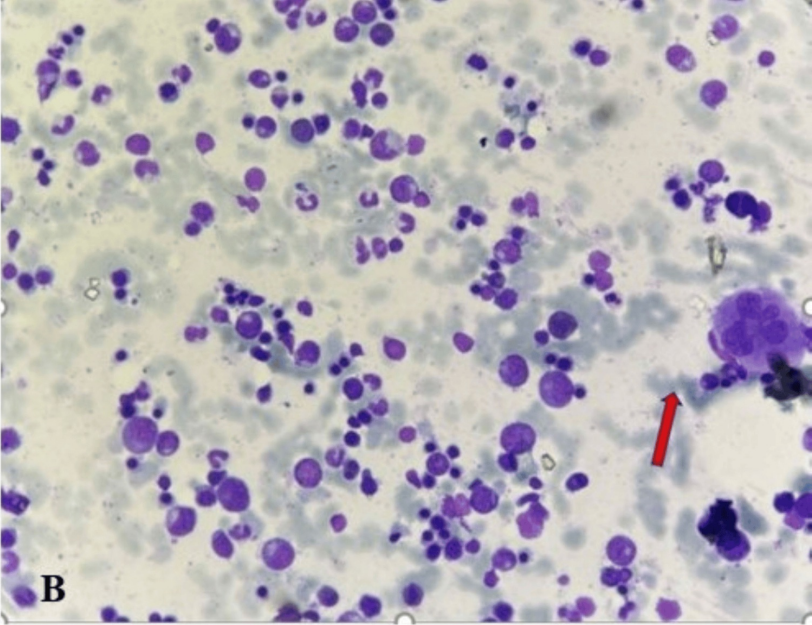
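A smear of bone marrow with many nucleated cells of varied size scattered over a pale blue-grey background. Some cells are small and round, with dense dark purple nuclei and scant cytoplasm. Others are larger and round, with paler purple nuclei. Several cells have indented or segmented nuclei. At the right edge lies a very large cell, many times the size of its neighbours, with a nucleus of several purple lobes and abundant pale cytoplasm. Smaller cells cluster beside this large cell. The cells lie singly or in small loose groups.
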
